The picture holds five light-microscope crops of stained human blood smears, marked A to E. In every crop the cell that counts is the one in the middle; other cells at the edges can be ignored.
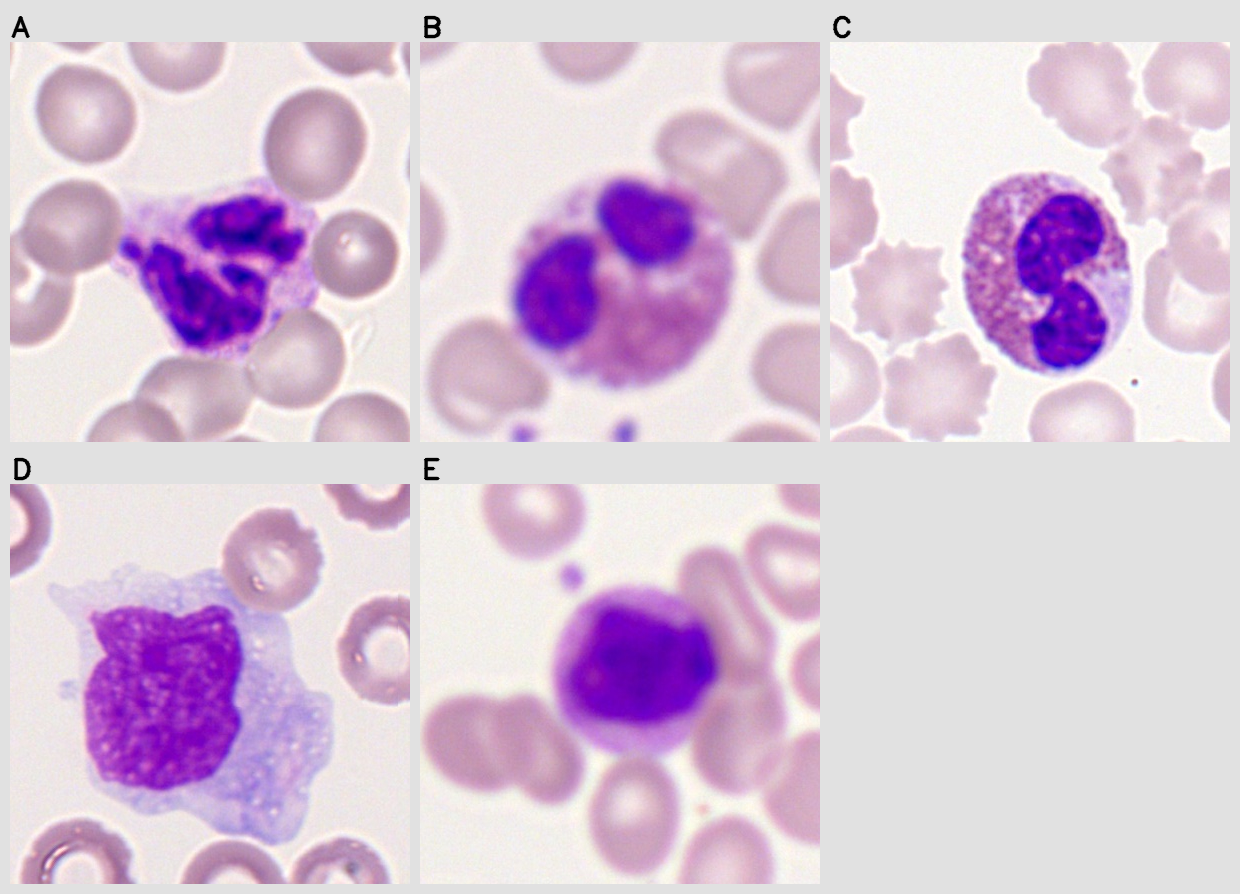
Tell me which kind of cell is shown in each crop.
A: basophil
B: eosinophil
C: eosinophil
D: monocyte
E: basophil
